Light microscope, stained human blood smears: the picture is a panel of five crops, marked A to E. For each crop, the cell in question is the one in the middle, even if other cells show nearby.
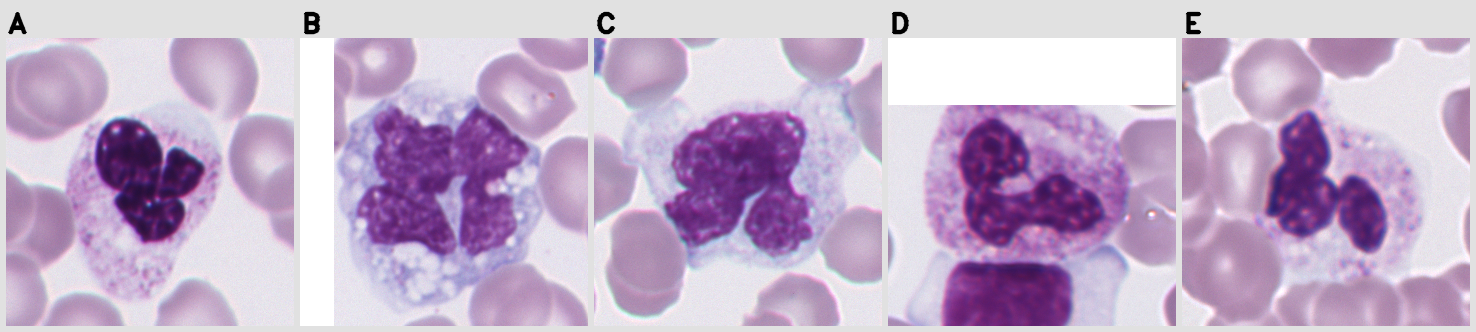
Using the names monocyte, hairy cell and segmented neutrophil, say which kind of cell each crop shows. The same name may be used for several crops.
A: segmented neutrophil
B: monocyte
C: monocyte
D: segmented neutrophil
E: segmented neutrophil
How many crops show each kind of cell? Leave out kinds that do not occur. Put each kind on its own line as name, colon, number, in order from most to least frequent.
segmented neutrophil: 3
monocyte: 2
